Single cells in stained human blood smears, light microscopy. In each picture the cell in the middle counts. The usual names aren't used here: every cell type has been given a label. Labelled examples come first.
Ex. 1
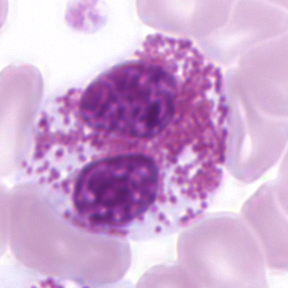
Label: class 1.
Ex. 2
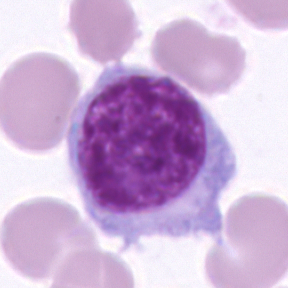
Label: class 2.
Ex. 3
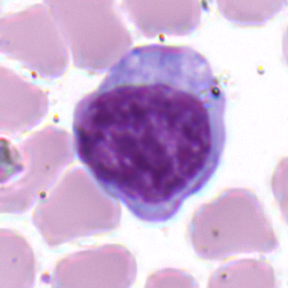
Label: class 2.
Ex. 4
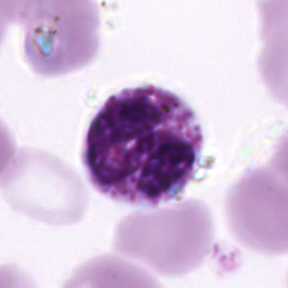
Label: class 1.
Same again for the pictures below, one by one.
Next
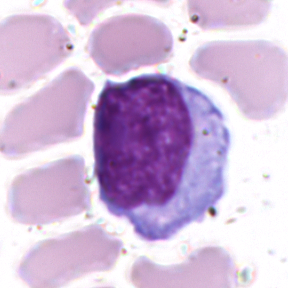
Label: class 2.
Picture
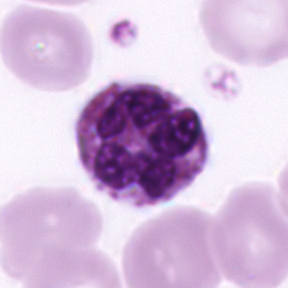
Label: class 1.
